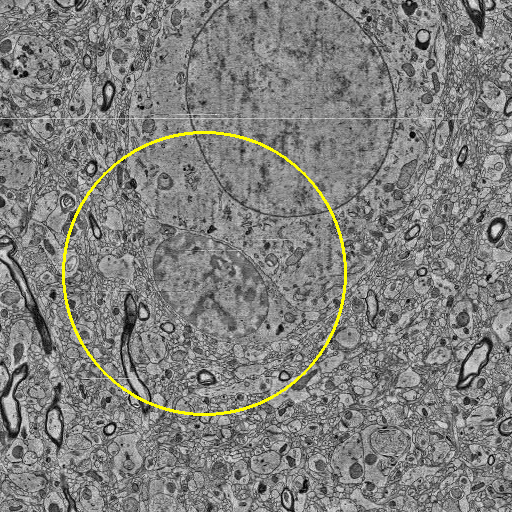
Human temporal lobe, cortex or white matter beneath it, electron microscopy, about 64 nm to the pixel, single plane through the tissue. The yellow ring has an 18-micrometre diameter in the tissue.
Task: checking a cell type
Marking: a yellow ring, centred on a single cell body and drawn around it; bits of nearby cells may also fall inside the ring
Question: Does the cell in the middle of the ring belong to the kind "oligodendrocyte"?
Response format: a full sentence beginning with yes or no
Yes, the cell marked at the ring's centre in the picture is of that kind.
